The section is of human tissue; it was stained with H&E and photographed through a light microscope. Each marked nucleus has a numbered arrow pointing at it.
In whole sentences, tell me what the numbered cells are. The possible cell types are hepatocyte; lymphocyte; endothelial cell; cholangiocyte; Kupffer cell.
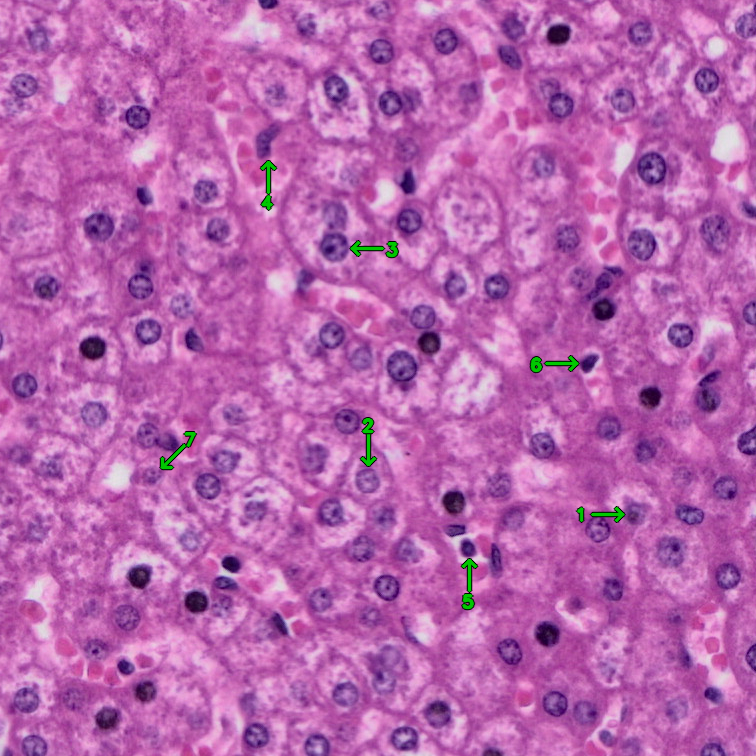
Cells 1, 2, 3 and 7 are hepatocytes. Cell 4 is a Kupffer cell. Cells 5 and 6 are lymphocytes.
